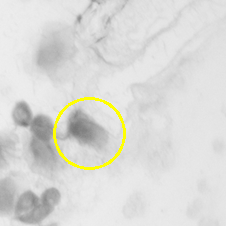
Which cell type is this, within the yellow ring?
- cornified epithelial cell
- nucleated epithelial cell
Within the ring is a cornified epithelial cell.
